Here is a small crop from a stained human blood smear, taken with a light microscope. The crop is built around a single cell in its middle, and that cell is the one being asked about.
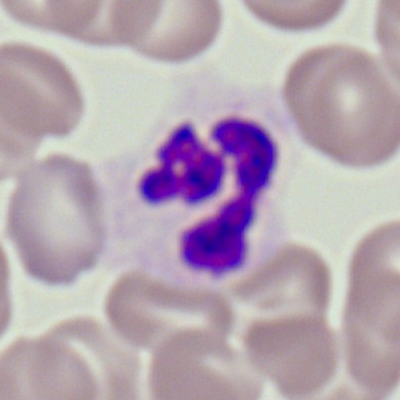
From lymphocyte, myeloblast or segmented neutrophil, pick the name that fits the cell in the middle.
segmented neutrophil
